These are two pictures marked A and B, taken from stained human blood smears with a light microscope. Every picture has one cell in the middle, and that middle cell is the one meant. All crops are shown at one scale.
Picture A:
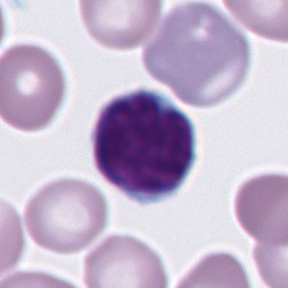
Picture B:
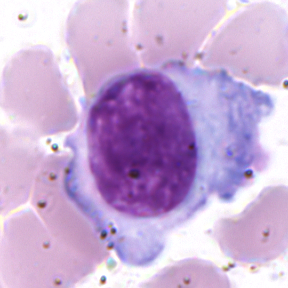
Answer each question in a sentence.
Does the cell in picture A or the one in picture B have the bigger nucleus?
The nucleus in picture B is larger, with about 1.5 times the area of the one in picture A.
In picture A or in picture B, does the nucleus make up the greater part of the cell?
Of the two, the nucleus in picture A makes up the greater part of its cell.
